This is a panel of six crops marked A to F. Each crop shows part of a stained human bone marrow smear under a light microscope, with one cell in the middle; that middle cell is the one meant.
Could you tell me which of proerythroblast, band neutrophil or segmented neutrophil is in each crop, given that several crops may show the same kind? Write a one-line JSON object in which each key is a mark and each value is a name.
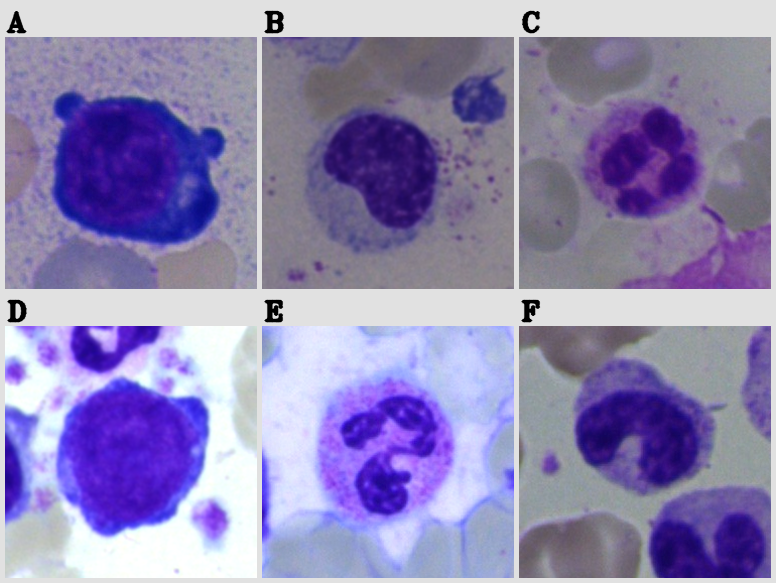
{"A": "proerythroblast", "B": "band neutrophil", "C": "segmented neutrophil", "D": "proerythroblast", "E": "segmented neutrophil", "F": "band neutrophil"}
